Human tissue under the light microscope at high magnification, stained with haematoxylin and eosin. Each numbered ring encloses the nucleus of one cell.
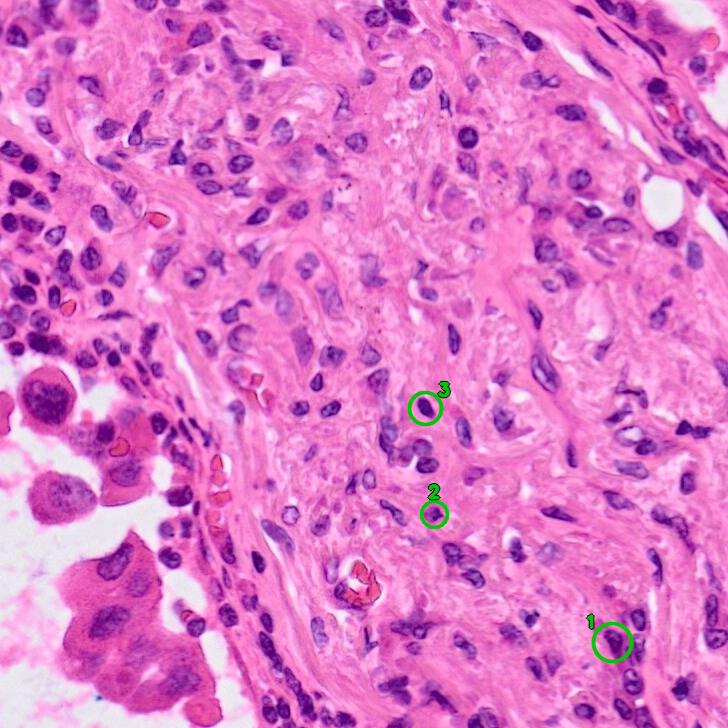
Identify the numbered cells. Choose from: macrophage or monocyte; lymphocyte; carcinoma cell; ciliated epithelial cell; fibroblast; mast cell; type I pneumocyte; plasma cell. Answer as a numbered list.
1. plasma cell
2. plasma cell
3. lymphocyte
